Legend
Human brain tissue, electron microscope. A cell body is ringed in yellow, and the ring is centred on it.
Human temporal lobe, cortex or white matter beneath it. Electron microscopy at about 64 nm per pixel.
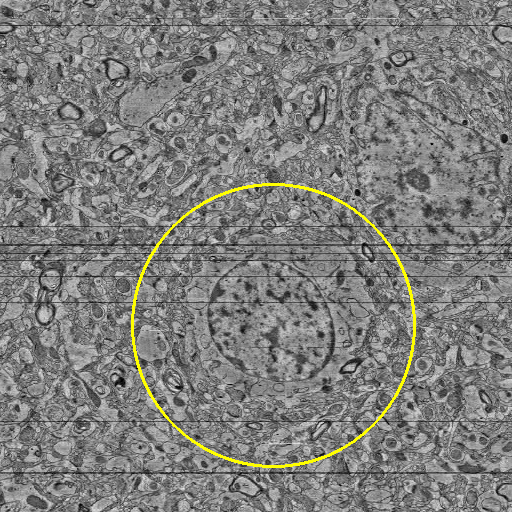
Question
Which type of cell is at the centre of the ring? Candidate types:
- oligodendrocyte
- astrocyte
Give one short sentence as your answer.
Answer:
The yellow ring is centred here on an astrocyte.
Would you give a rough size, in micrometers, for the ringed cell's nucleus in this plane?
The nucleus is approximately 9 micrometers long by 8 micrometers wide in this plane.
